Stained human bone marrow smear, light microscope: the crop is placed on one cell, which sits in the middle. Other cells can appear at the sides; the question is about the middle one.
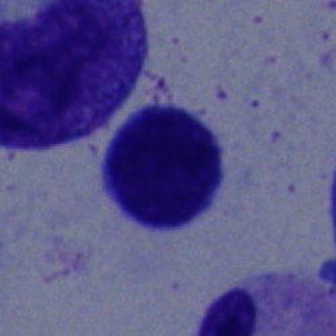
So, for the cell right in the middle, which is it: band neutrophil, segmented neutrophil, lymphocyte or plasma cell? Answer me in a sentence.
In the middle of this smear crop, the cell is a lymphocyte.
